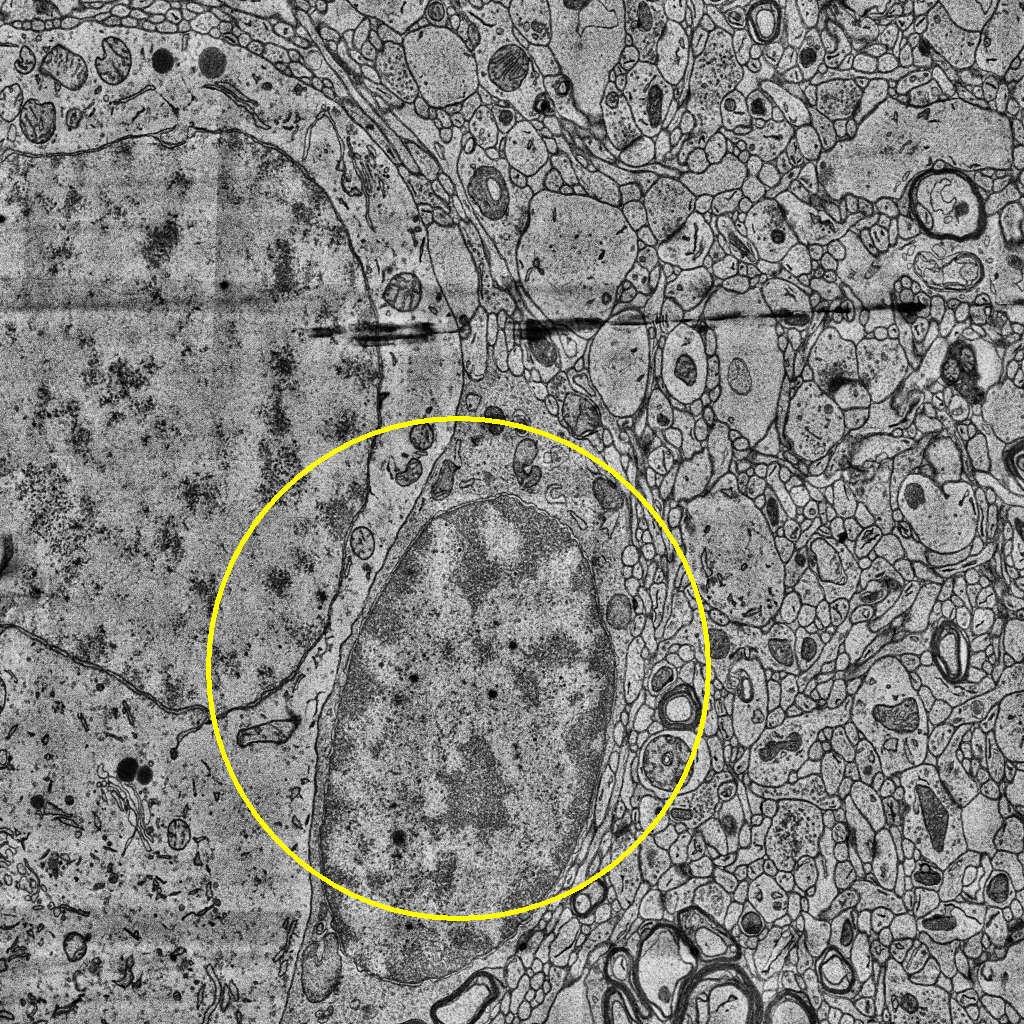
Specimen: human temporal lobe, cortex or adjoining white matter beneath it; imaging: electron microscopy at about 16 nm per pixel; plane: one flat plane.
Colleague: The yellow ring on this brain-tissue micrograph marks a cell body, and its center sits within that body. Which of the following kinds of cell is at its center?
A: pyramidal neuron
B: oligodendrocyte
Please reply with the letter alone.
B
